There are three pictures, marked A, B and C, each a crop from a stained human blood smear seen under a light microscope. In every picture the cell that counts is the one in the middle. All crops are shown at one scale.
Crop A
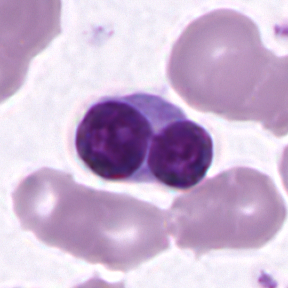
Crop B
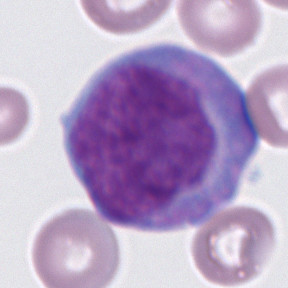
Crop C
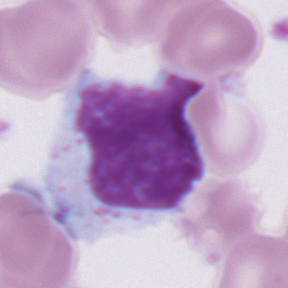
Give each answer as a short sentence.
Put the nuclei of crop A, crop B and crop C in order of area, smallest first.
Going up, they run A, C, B.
